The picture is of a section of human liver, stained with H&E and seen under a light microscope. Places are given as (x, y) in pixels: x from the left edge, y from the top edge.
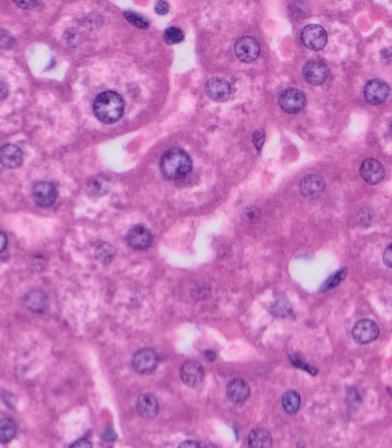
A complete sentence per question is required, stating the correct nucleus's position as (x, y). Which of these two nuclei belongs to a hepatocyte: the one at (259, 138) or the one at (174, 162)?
Of these two nuclei, only the one at (174, 162) belongs to a hepatocyte.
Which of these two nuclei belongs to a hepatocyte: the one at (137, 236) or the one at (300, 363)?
Housed in a hepatocyte is the nucleus at (137, 236), not the other one.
